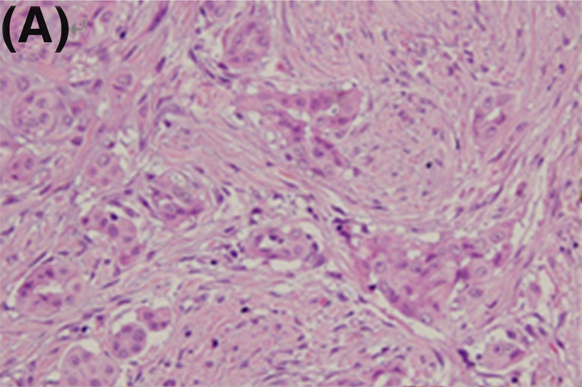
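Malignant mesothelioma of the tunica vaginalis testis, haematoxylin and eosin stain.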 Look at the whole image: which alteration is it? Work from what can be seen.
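Small nests, cords and glands of epithelial cells are scattered through fibrous pink stroma. The cell groups have no sharp boundary and lie between collagen bundles throughout the field. So: diffuse infiltrating pattern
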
